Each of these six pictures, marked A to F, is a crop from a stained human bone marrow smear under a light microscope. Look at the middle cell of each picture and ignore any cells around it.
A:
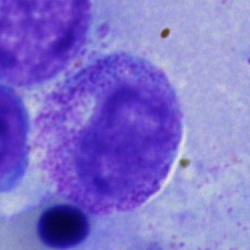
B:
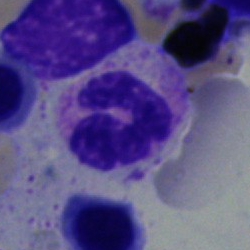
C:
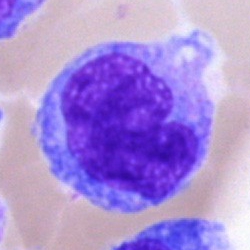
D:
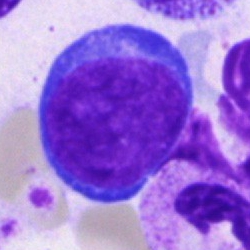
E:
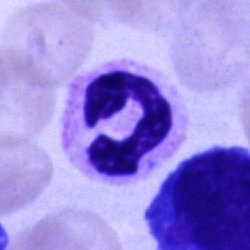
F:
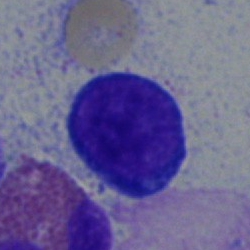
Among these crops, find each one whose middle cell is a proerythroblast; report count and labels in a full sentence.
The set of crops showing proerythroblasts comprises two, namely D and F.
